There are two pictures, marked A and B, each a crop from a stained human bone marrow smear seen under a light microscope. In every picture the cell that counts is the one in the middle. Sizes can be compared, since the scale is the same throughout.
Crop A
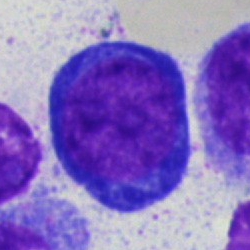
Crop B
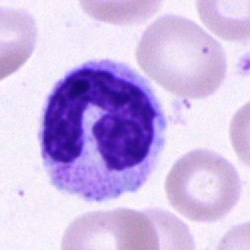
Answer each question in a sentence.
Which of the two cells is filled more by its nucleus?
The nucleus fills more of the cell in crop A than in crop B.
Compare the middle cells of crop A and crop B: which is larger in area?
It is the cell in crop A, about 1.5 times as large in area as the cell in crop B.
